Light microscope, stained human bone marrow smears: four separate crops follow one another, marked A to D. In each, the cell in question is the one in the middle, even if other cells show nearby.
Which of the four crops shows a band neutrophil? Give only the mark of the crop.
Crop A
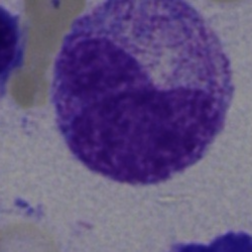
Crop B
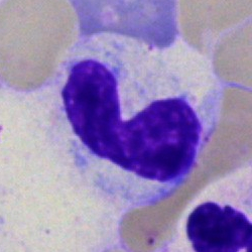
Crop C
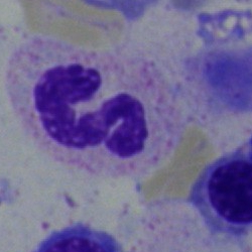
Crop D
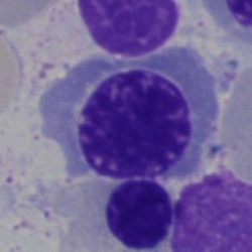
B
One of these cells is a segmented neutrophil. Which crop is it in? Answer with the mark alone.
C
